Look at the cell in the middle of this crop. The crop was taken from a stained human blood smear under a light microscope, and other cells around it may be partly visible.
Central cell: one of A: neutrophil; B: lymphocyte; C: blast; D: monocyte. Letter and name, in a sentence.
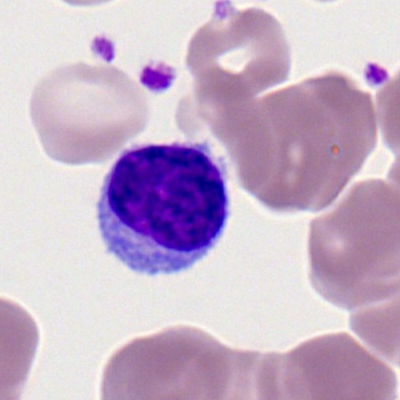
Option B holds, for the cell in the middle is a lymphocyte.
